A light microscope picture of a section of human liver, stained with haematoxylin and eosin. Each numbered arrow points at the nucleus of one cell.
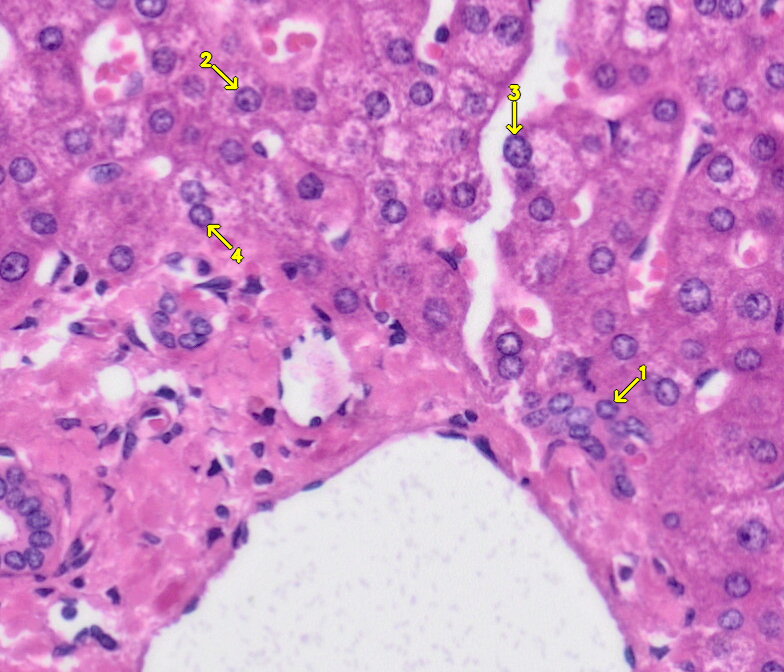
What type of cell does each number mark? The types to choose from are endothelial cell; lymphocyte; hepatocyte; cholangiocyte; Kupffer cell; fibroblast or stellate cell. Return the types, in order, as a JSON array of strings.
["cholangiocyte", "hepatocyte", "hepatocyte", "hepatocyte"]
